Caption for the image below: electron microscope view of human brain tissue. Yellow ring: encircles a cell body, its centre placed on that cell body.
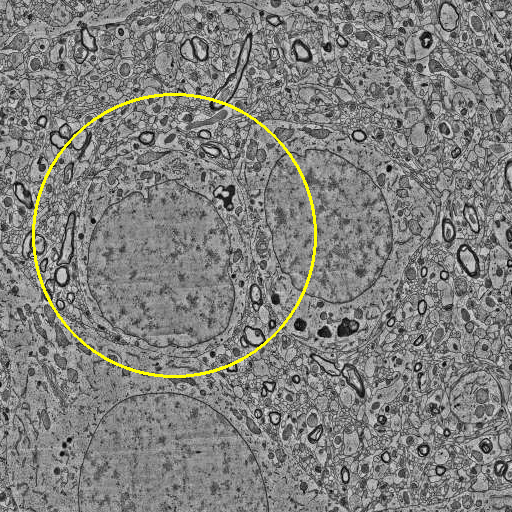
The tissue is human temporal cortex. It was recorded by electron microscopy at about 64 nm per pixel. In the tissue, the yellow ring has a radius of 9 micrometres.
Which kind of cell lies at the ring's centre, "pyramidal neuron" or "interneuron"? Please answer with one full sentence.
The picture shows a pyramidal neuron at the centre of the yellow ring.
